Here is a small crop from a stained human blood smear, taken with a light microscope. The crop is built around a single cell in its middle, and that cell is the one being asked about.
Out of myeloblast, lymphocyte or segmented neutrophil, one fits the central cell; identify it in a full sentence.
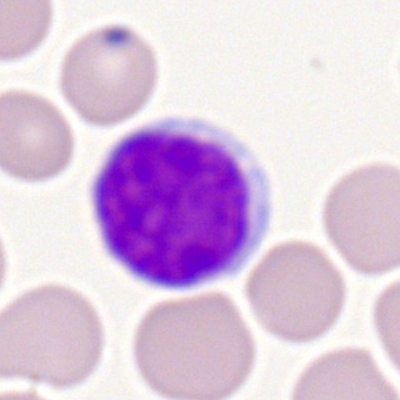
For this crop, the central cell is a lymphocyte.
